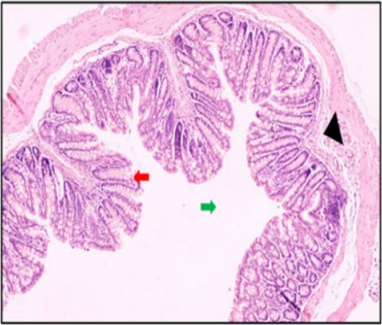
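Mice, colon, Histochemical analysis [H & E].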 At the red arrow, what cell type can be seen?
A: Epithelial cells and goblet cells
